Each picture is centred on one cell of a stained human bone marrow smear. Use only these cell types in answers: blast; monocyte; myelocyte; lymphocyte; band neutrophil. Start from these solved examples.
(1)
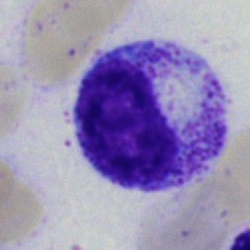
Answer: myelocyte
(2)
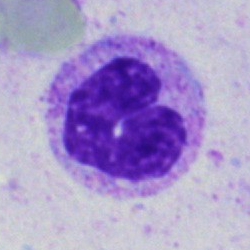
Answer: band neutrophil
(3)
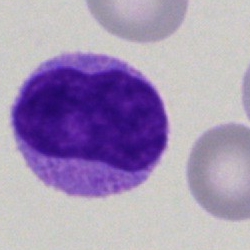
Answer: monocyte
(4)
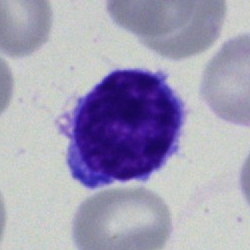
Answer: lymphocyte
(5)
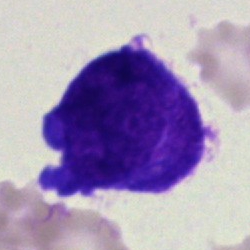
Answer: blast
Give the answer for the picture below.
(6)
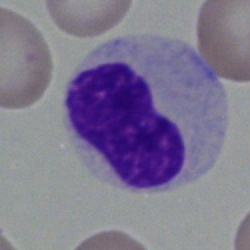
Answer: band neutrophil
